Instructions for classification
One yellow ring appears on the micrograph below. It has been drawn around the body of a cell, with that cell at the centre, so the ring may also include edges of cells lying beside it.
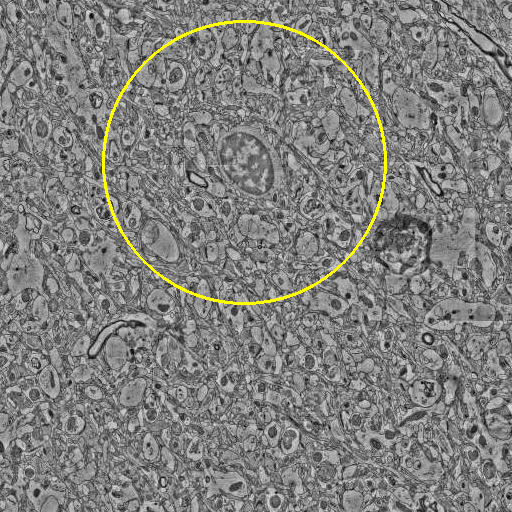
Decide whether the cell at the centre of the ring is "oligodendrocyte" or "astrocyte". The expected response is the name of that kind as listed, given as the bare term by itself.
oligodendrocyte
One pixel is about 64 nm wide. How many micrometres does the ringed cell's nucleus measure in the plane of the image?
The ringed cell's nucleus is about 4 micrometres long and 3 micrometres wide in this plane.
